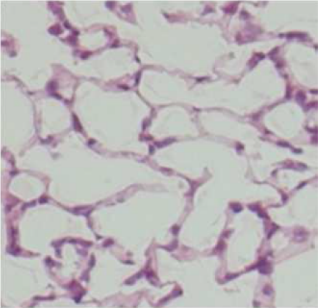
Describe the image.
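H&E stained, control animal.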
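This section of lung shows the alveolar tissue, with large empty airspaces separated by thin alveolar walls. The walls are delicate, pink-staining strands only a few cells thick, forming a lace-like network around the airspaces. Small, dark purple nuclei are scattered along the walls, some flattened and some more rounded. The airspaces are clear and contain no visible cells or fluid.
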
